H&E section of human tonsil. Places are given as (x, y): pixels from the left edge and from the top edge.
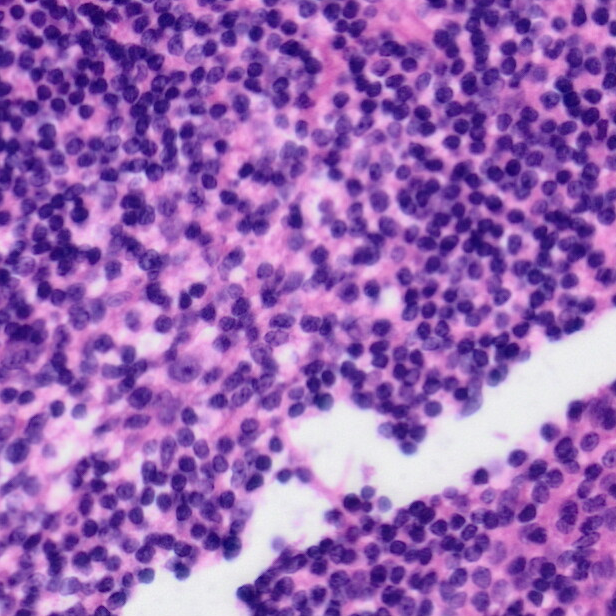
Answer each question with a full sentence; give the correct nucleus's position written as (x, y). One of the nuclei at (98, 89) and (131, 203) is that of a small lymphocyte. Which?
Identify the nucleus at (98, 89) as the one belonging to a small lymphocyte.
